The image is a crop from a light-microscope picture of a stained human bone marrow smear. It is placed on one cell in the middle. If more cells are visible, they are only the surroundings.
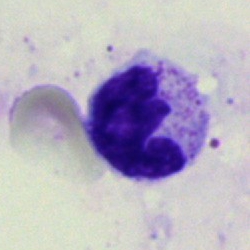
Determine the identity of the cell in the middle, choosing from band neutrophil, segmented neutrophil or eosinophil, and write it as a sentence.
The centrally located cell in the crop is a segmented neutrophil.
